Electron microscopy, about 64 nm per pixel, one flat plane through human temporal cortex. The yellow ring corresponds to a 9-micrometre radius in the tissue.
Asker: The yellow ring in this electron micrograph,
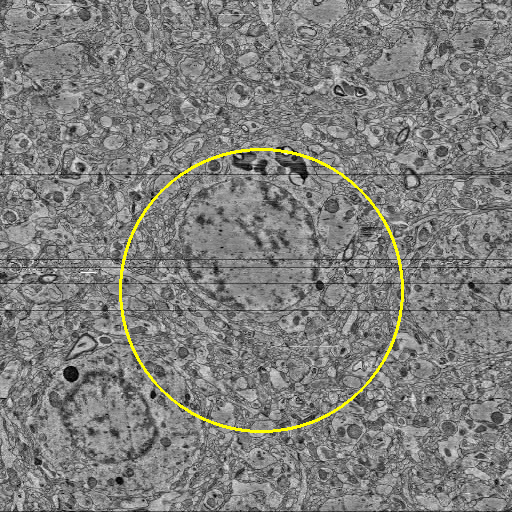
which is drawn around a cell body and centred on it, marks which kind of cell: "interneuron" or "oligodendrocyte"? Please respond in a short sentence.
The marked cell is an interneuron.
